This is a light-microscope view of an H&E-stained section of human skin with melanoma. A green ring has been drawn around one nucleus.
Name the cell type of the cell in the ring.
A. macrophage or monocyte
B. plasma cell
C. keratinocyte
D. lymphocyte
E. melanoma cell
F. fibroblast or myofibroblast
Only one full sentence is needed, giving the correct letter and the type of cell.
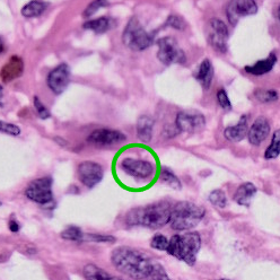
Option A is correct in that the cell in the ring is a macrophage or monocyte.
